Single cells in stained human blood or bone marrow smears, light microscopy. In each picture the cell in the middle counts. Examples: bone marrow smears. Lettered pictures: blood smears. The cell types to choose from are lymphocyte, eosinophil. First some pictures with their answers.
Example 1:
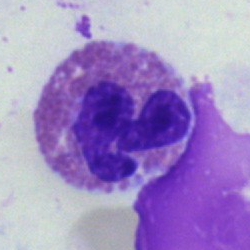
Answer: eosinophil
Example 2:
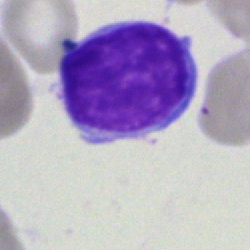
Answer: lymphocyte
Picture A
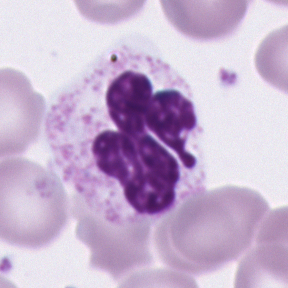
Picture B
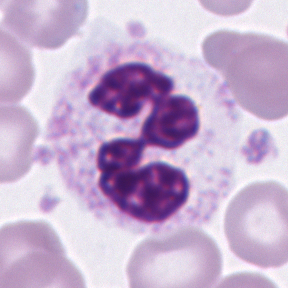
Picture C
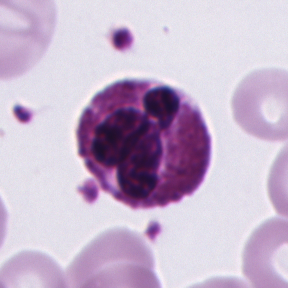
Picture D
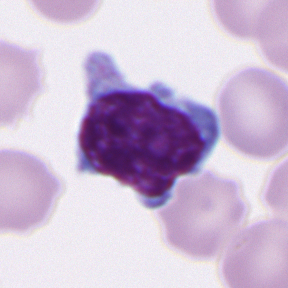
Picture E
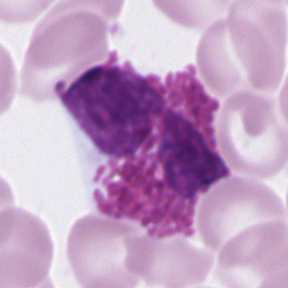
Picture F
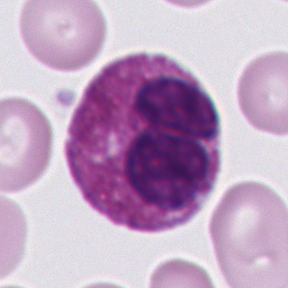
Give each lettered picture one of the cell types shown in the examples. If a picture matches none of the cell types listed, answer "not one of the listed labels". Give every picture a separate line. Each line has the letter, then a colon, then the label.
A: not one of the listed labels
B: not one of the listed labels
C: eosinophil
D: lymphocyte
E: eosinophil
F: eosinophil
